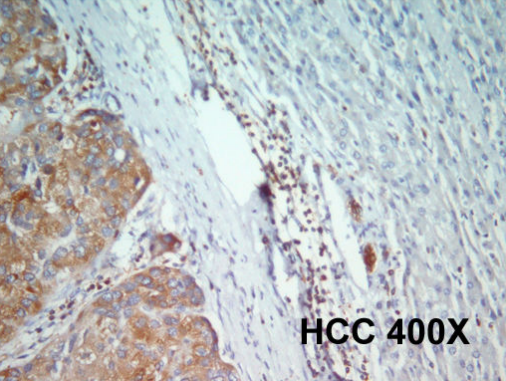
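This high-power view shows nests of tumor cells at the left with brown-stained cytoplasm and membranes around blue nuclei. The tumor cells are large and polygonal, with enlarged, somewhat irregular nuclei and abundant cytoplasm. A pale band of fibrous tissue separates the tumor nests from the tissue on the right. Within and along this band lie many small, dark, brown-stained round cells, consistent with infiltrating inflammatory cells.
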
